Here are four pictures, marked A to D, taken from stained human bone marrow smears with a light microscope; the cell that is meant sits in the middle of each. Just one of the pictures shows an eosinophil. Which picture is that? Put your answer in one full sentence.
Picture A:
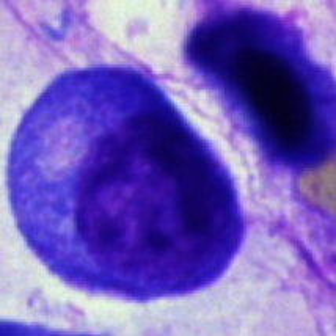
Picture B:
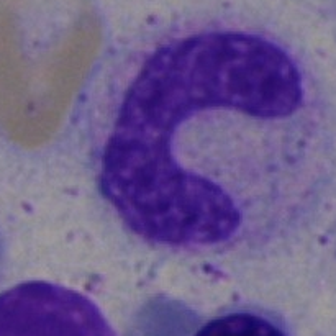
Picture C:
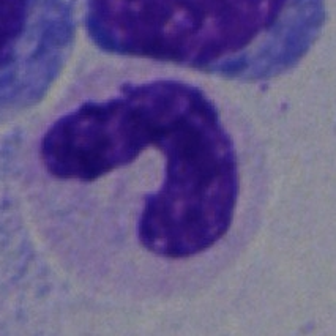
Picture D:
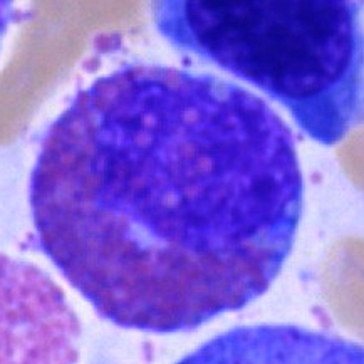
The cell in picture D is the eosinophil.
